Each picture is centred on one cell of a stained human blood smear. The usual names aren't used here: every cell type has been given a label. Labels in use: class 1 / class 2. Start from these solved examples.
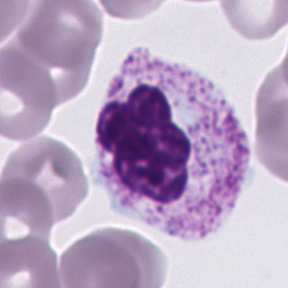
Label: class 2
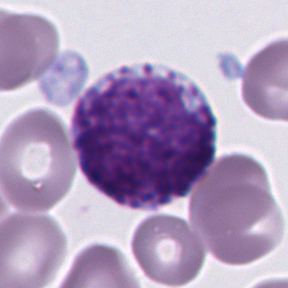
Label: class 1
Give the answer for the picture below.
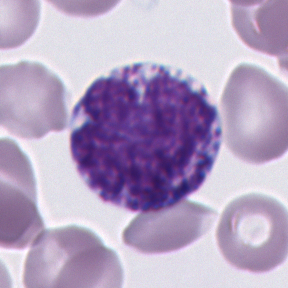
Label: class 1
